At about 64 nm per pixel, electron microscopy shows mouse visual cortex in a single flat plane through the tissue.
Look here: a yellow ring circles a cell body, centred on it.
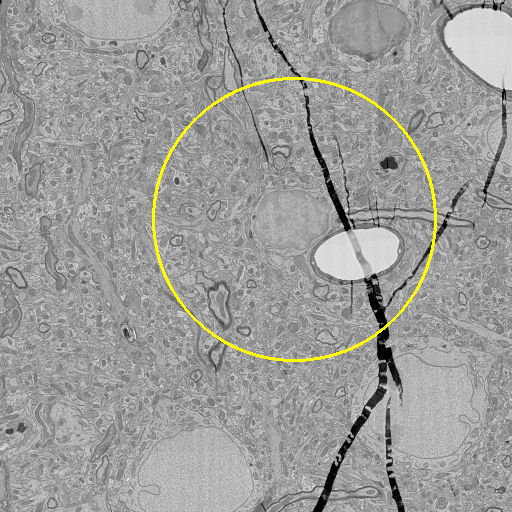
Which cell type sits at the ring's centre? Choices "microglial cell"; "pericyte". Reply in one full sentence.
The cell at the centre of the yellow ring in the picture is a microglial cell.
